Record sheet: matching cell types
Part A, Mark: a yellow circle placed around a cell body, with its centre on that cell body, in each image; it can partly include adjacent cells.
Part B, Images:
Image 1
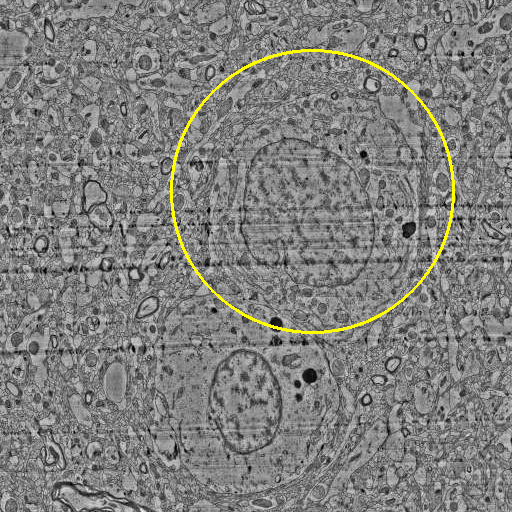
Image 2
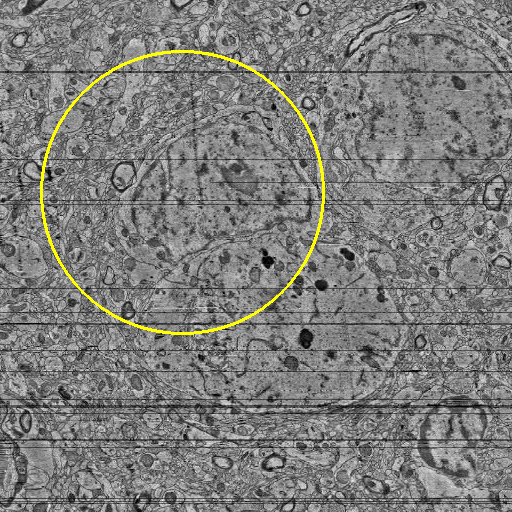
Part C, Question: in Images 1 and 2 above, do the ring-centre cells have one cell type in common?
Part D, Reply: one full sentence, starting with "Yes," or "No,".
Yes, the ring-centre cells of Image 1 and Image 2 are both of a single cell type.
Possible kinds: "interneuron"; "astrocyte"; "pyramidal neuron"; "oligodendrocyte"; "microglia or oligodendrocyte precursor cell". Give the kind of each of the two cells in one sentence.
Each of the two pictures has an interneuron at the ring centre.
